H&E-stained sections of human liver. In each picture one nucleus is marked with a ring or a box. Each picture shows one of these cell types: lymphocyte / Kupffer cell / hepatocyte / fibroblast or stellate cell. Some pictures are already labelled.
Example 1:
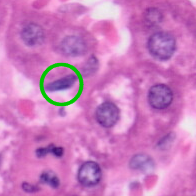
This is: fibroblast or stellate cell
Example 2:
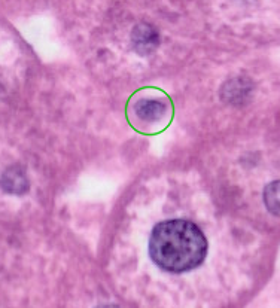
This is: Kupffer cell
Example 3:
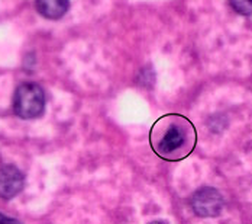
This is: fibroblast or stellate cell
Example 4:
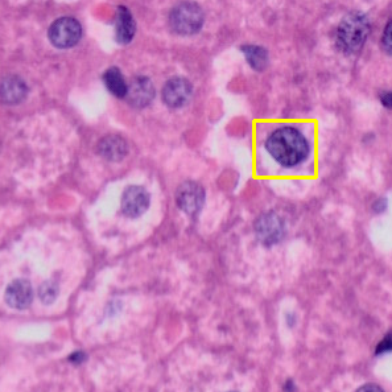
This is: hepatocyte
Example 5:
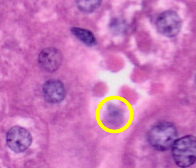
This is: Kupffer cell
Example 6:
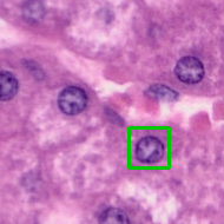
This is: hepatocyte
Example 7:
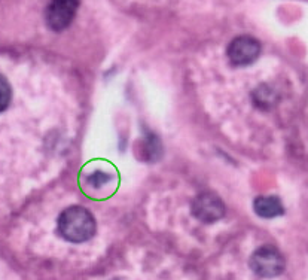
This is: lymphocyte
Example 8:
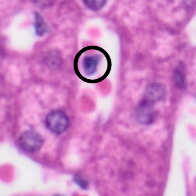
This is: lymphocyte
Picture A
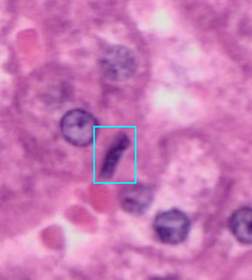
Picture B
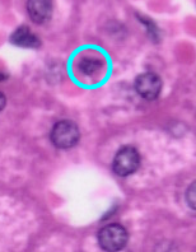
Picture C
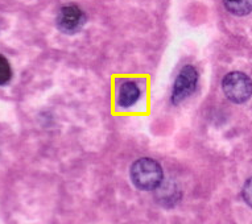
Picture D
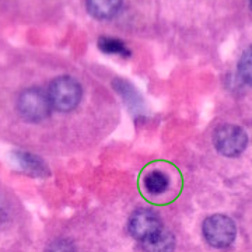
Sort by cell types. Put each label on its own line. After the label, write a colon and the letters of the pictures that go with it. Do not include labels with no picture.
lymphocyte: D
fibroblast or stellate cell: A, B, C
